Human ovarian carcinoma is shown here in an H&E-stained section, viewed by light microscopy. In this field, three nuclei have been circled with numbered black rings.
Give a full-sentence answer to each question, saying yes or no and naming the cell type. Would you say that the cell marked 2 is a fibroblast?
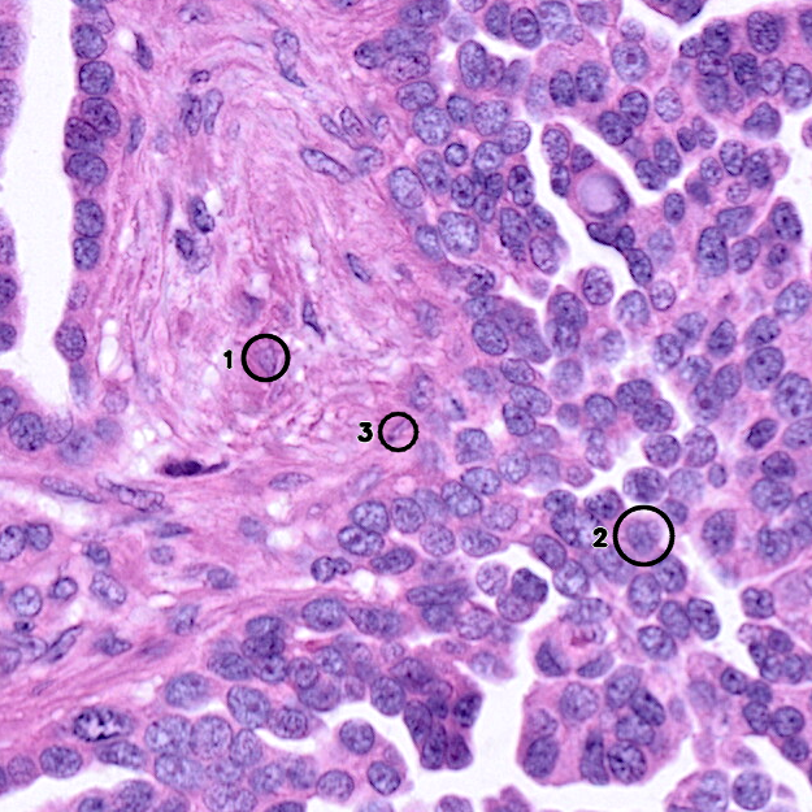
No, cell 2 is a carcinoma cell, not a fibroblast.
